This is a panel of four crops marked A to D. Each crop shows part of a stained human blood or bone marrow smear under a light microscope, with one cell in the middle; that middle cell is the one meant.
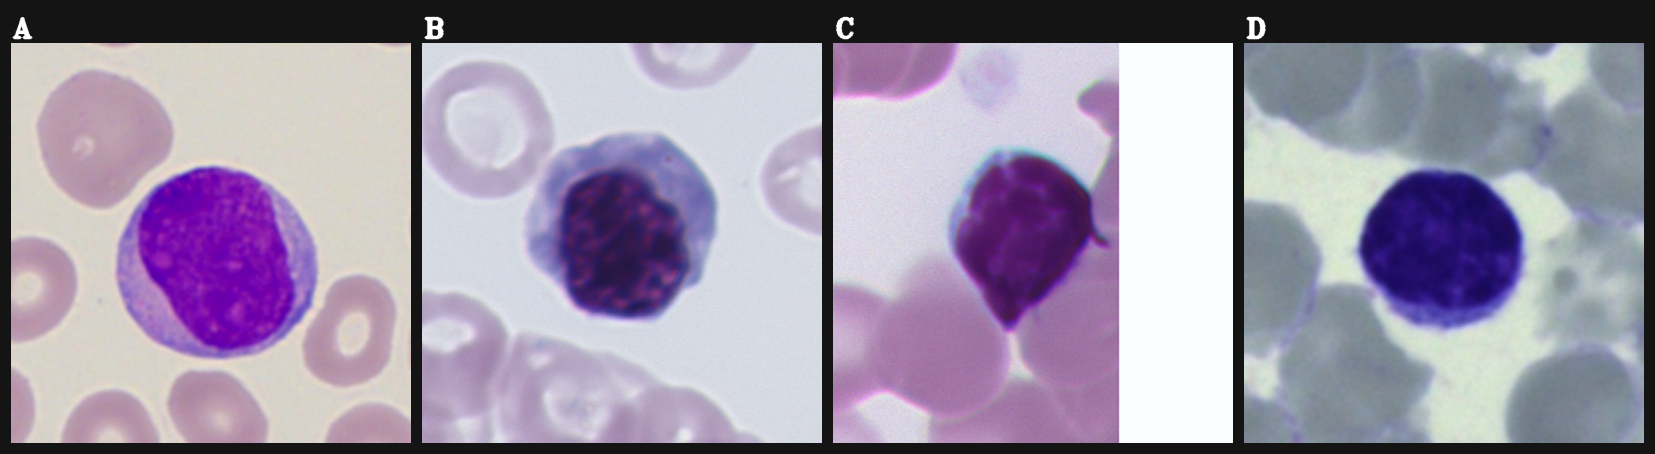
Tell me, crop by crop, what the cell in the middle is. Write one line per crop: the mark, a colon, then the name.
A: blast
B: erythroblast
C: lymphocyte
D: lymphocyte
